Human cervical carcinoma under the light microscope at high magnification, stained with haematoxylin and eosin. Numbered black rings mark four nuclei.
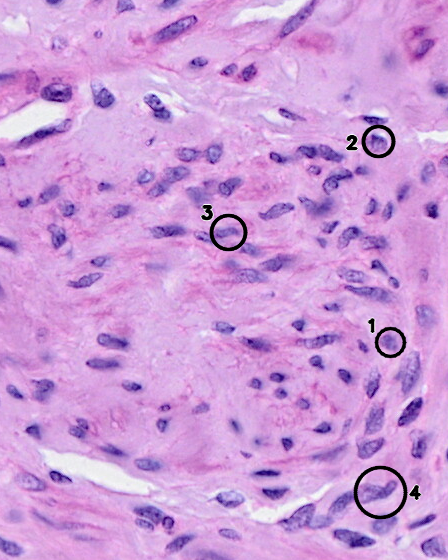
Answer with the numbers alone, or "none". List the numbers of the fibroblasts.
2, 4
